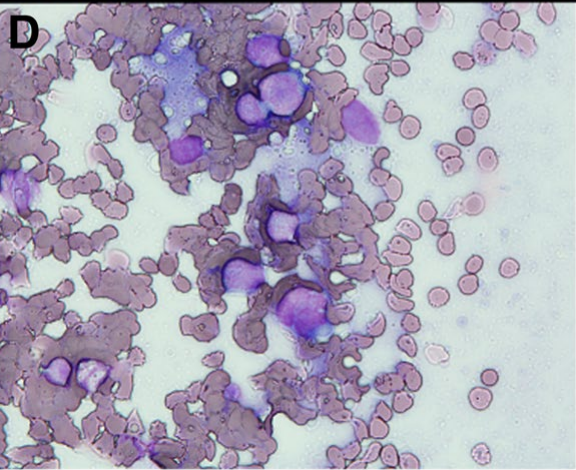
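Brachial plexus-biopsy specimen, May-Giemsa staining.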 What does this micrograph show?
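This smear shows a few abnormally large cells scattered among numerous red blood cells. The large cells are several times the size of the red cells and have round purple nuclei that occupy most of each cell. Only a thin rim of bluish cytoplasm surrounds each nucleus, giving a high nuclear-to-cytoplasmic ratio.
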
